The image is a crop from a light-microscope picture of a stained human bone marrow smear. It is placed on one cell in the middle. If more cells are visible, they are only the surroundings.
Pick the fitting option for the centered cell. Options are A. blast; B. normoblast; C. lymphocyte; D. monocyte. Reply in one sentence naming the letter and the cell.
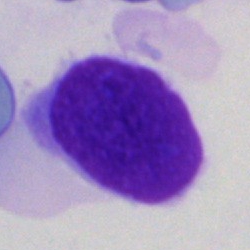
The cell centred in the crop is a blast, and the correct option is thus A.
